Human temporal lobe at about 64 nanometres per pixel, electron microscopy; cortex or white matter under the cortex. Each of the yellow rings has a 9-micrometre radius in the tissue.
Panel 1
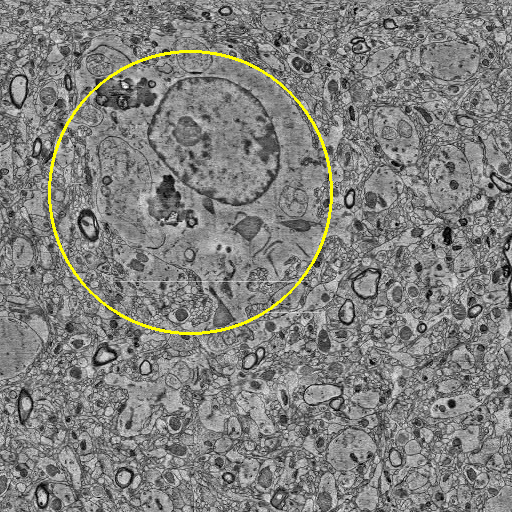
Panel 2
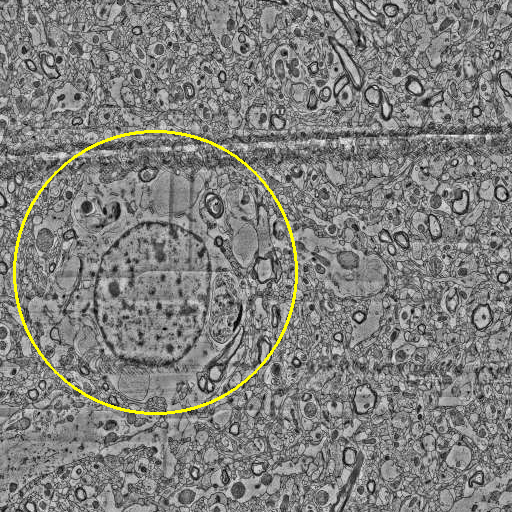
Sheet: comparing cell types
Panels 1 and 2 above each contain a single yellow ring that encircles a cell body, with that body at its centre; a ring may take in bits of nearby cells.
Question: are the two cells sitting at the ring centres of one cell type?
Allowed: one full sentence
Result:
Yes, the ring-centre cells in Panel 1 and Panel 2 are of one type.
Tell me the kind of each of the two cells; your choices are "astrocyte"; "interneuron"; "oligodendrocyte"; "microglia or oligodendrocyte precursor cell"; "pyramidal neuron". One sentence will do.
Both the first and the second picture show an astrocyte in the ring.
